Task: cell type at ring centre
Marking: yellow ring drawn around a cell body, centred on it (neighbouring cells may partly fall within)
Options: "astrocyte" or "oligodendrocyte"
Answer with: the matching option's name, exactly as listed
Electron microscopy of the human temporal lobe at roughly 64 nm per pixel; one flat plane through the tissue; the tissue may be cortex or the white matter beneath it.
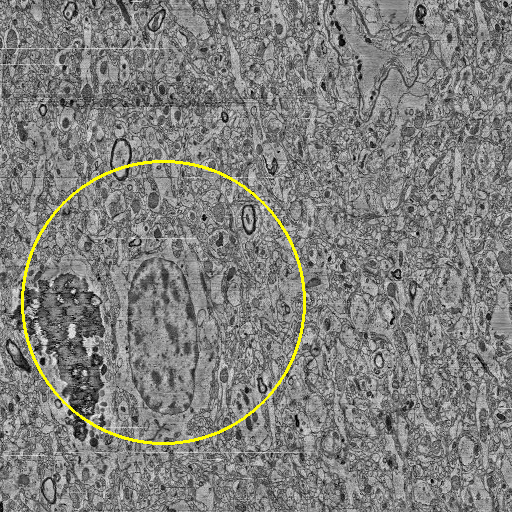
astrocyte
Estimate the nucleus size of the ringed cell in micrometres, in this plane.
The nucleus comes to approximately 10 by 5 micrometres and is clearly longer than it is wide in this plane.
